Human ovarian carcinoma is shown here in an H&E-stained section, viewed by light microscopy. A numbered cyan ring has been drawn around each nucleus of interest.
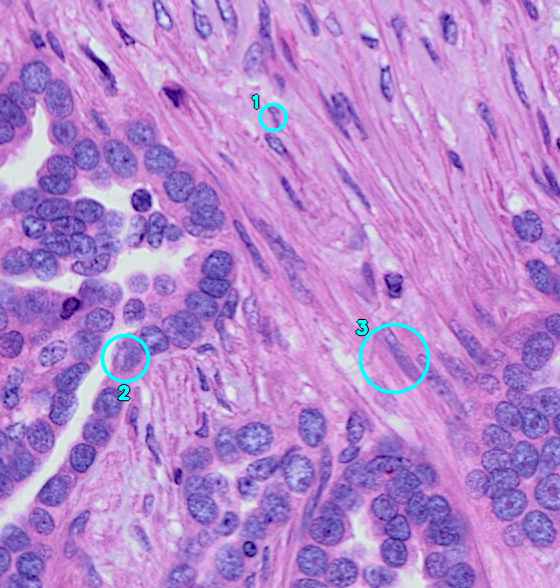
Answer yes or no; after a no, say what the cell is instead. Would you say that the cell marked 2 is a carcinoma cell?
Yes.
